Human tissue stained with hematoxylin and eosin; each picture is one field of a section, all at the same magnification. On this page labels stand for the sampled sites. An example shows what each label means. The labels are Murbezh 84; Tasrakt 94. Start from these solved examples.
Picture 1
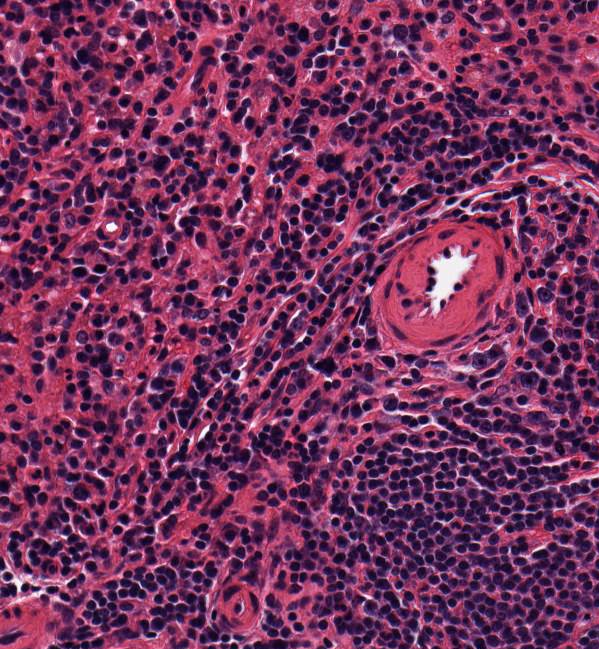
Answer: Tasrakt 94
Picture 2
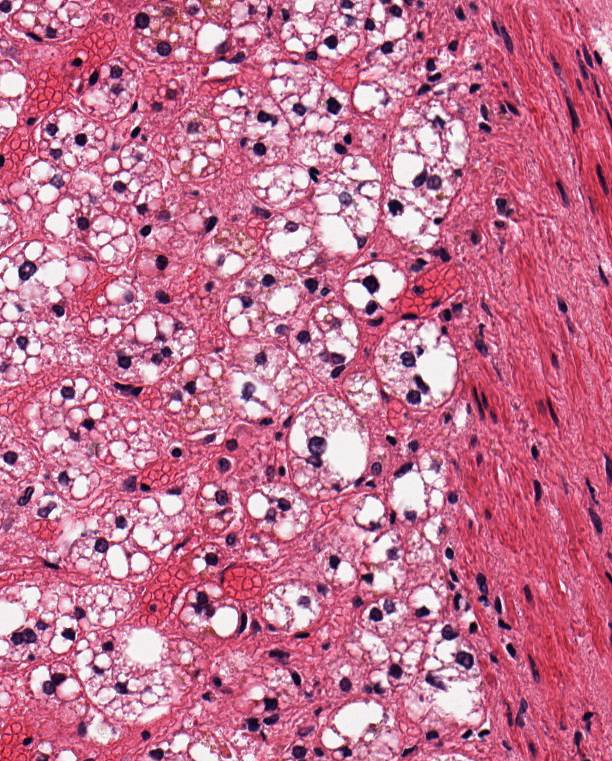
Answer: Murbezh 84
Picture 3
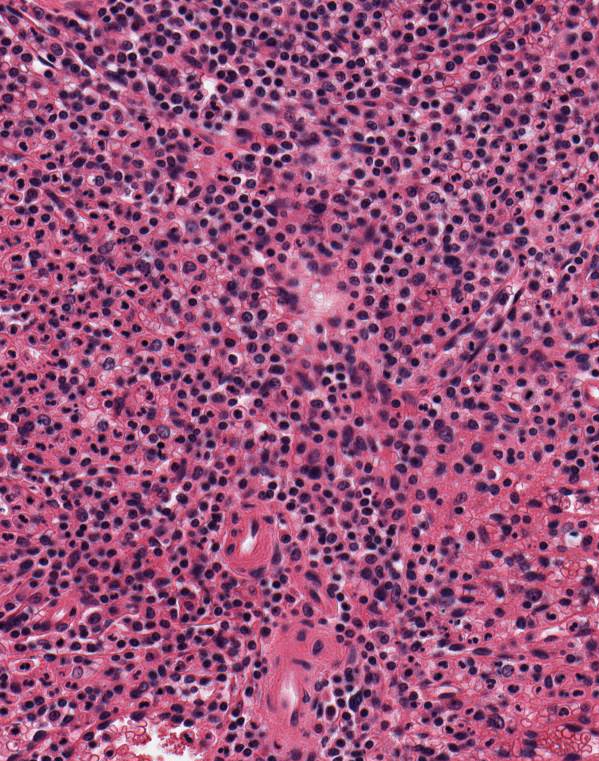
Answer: Tasrakt 94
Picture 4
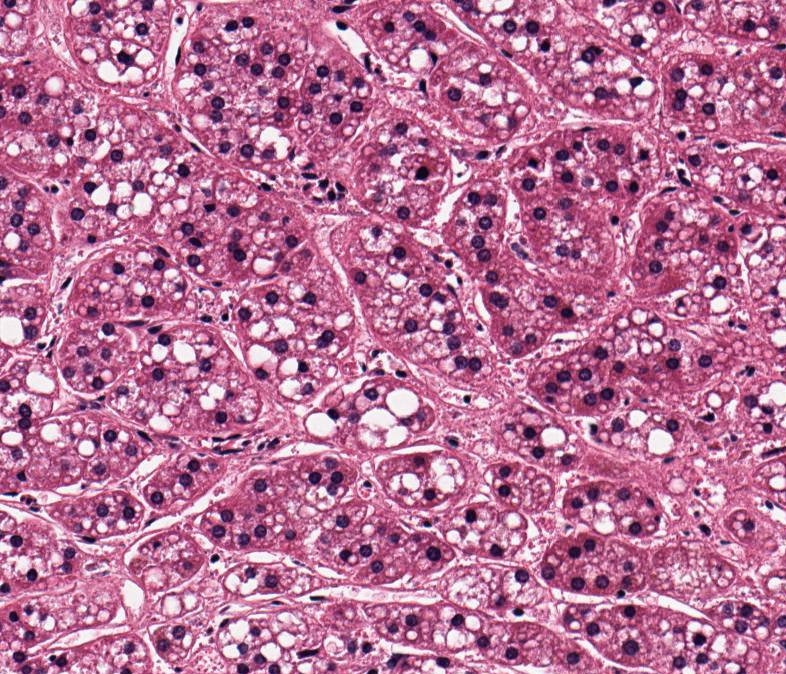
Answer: Murbezh 84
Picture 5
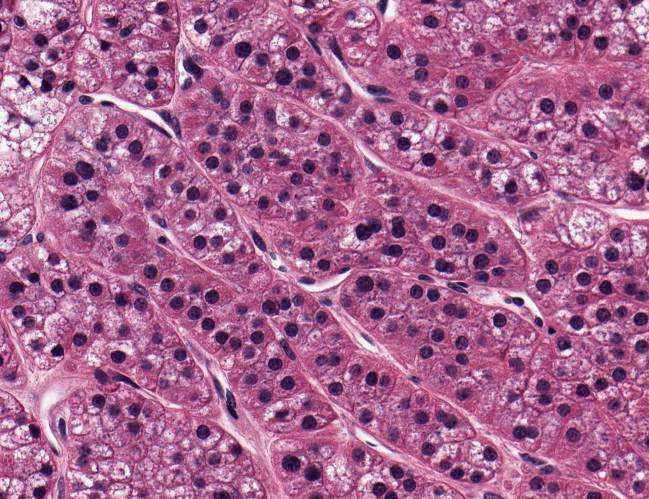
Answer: Murbezh 84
